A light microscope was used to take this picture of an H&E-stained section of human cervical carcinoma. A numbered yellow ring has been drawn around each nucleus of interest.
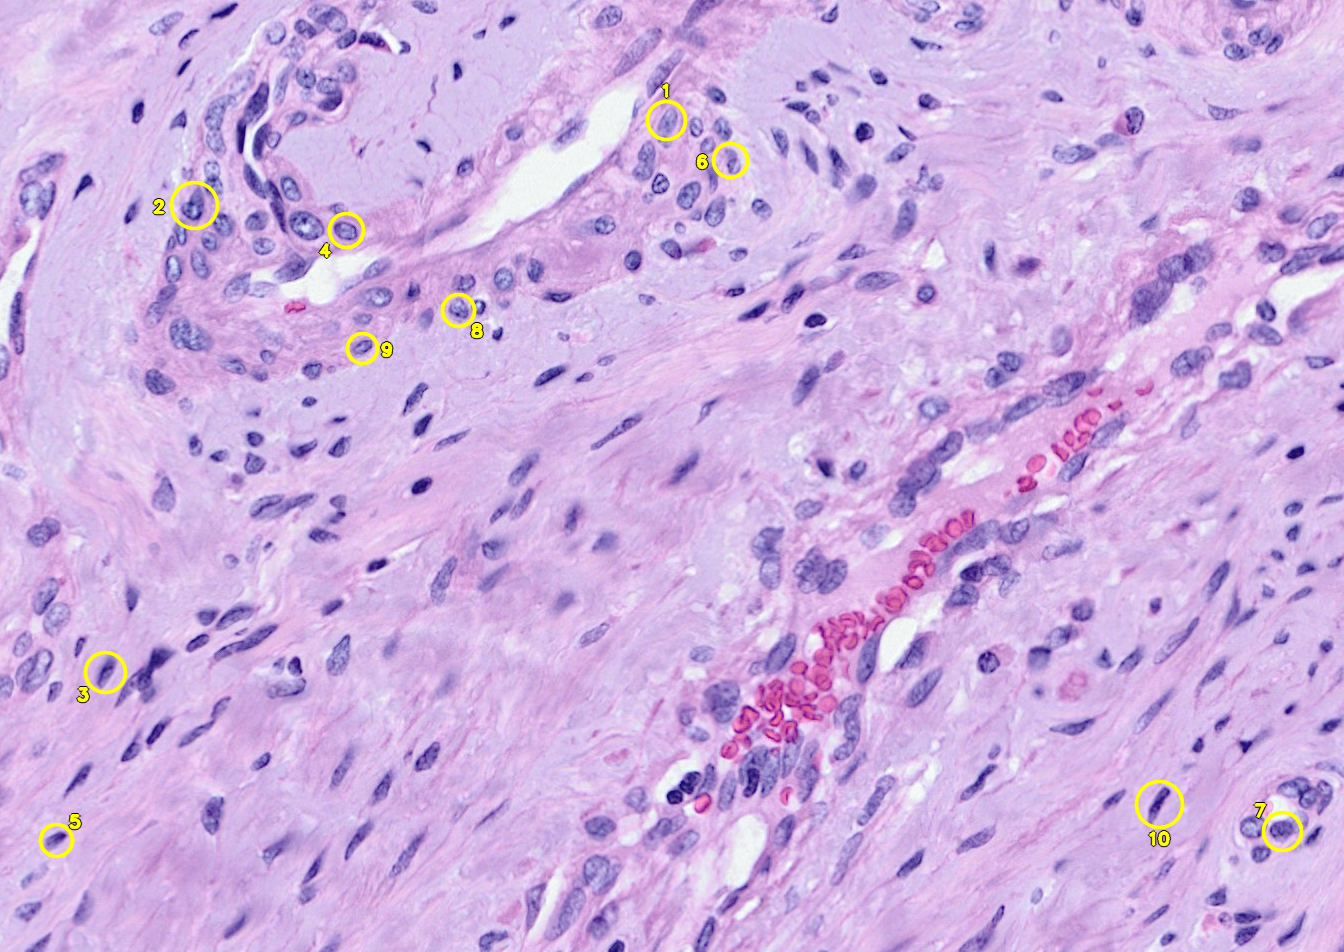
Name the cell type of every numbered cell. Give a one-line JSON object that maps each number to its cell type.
{"1": "smooth muscle cell", "2": "smooth muscle cell", "3": "fibroblast", "4": "smooth muscle cell", "5": "fibroblast", "6": "smooth muscle cell", "7": "endothelial cell", "8": "smooth muscle cell", "9": "smooth muscle cell", "10": "fibroblast"}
